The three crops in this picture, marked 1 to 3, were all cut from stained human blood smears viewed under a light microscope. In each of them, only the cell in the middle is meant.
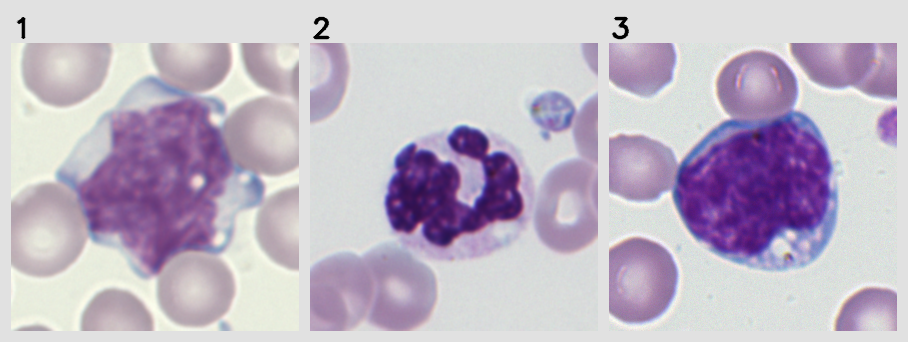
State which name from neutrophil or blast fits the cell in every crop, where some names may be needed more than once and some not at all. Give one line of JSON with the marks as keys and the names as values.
{"1": "blast", "2": "neutrophil", "3": "blast"}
